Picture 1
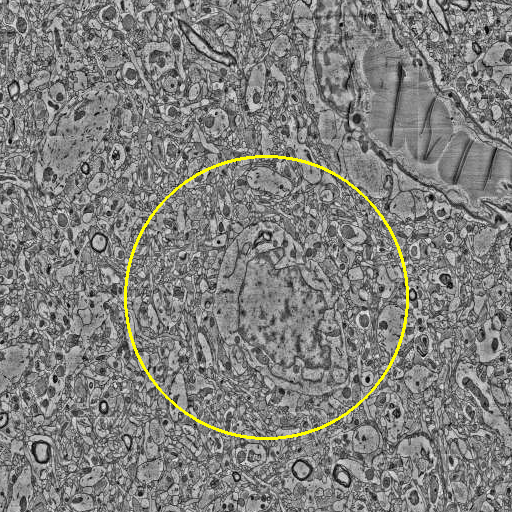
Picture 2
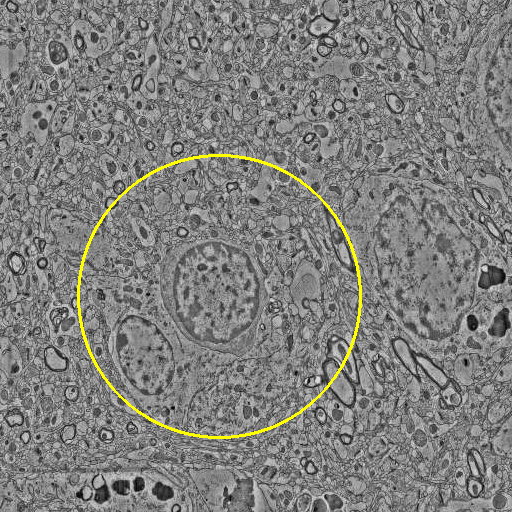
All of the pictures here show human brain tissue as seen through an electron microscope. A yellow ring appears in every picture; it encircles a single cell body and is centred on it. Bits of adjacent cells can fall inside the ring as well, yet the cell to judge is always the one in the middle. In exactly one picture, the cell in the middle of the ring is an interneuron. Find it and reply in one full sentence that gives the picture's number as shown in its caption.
Of all the pictures, picture 1 has the right cell at the centre of its ring.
